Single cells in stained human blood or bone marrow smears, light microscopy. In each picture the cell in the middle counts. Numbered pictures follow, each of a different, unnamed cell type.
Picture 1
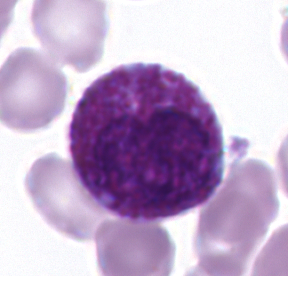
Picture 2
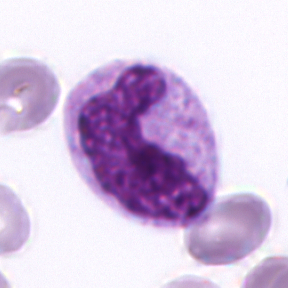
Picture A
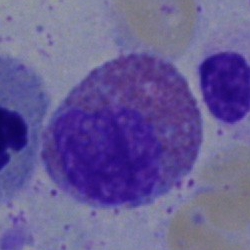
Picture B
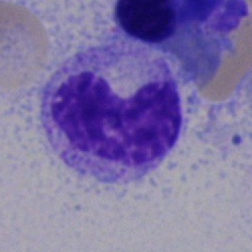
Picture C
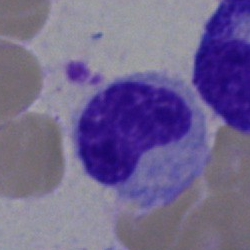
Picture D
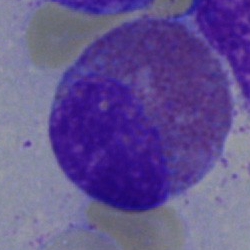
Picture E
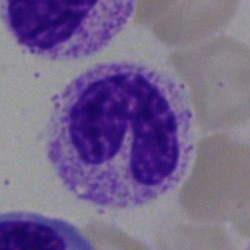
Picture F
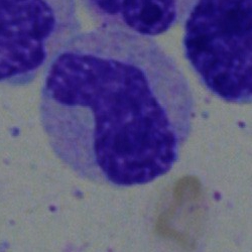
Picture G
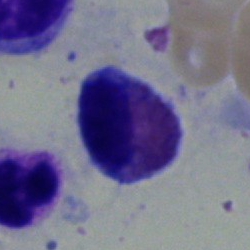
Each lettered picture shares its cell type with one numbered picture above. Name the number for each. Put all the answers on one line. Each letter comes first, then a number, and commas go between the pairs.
A 1, B 2, C 2, D 1, E 2, F 2, G 1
